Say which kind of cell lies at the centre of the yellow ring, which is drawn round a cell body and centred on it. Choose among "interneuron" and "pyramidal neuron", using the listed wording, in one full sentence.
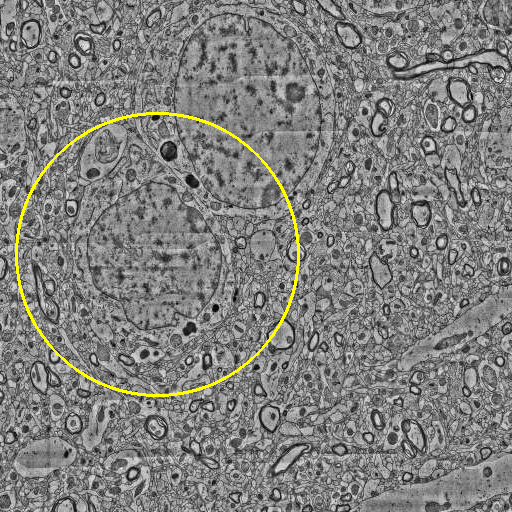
Going by the list, the cell at the yellow ring's centre is a pyramidal neuron.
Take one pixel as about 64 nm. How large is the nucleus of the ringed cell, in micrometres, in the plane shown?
In this plane, about 10 micrometres in length and 8 in width.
